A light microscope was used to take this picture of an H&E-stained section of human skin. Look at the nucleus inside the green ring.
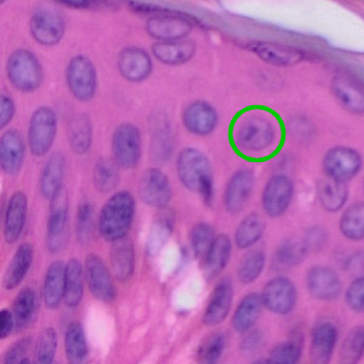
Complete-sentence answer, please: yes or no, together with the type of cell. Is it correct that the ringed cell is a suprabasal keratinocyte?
Yes, the ringed cell in this section represents a suprabasal keratinocyte.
